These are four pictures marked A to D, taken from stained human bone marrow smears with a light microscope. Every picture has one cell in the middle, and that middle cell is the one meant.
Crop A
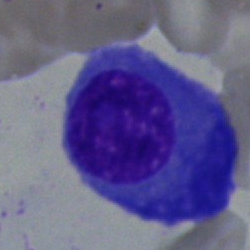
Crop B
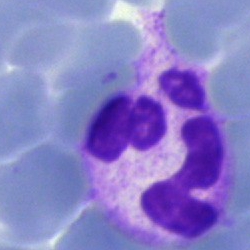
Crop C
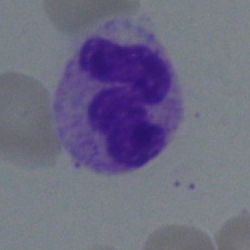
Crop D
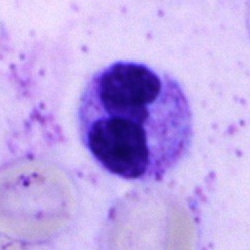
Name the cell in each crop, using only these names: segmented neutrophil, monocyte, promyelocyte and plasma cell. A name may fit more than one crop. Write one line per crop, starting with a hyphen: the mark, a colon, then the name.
- A: plasma cell
- B: segmented neutrophil
- C: segmented neutrophil
- D: segmented neutrophil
